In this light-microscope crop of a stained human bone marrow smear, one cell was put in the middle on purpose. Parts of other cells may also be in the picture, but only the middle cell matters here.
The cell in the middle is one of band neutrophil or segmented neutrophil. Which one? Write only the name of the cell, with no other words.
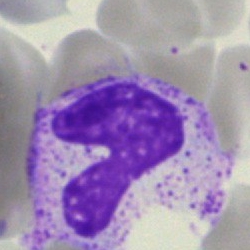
band neutrophil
